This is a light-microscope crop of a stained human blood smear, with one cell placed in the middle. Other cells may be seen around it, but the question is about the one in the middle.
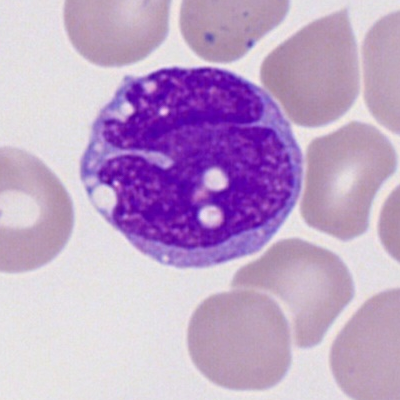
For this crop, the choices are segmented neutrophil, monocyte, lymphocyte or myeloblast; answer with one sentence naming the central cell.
Framed in the middle of the crop is a monocyte.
